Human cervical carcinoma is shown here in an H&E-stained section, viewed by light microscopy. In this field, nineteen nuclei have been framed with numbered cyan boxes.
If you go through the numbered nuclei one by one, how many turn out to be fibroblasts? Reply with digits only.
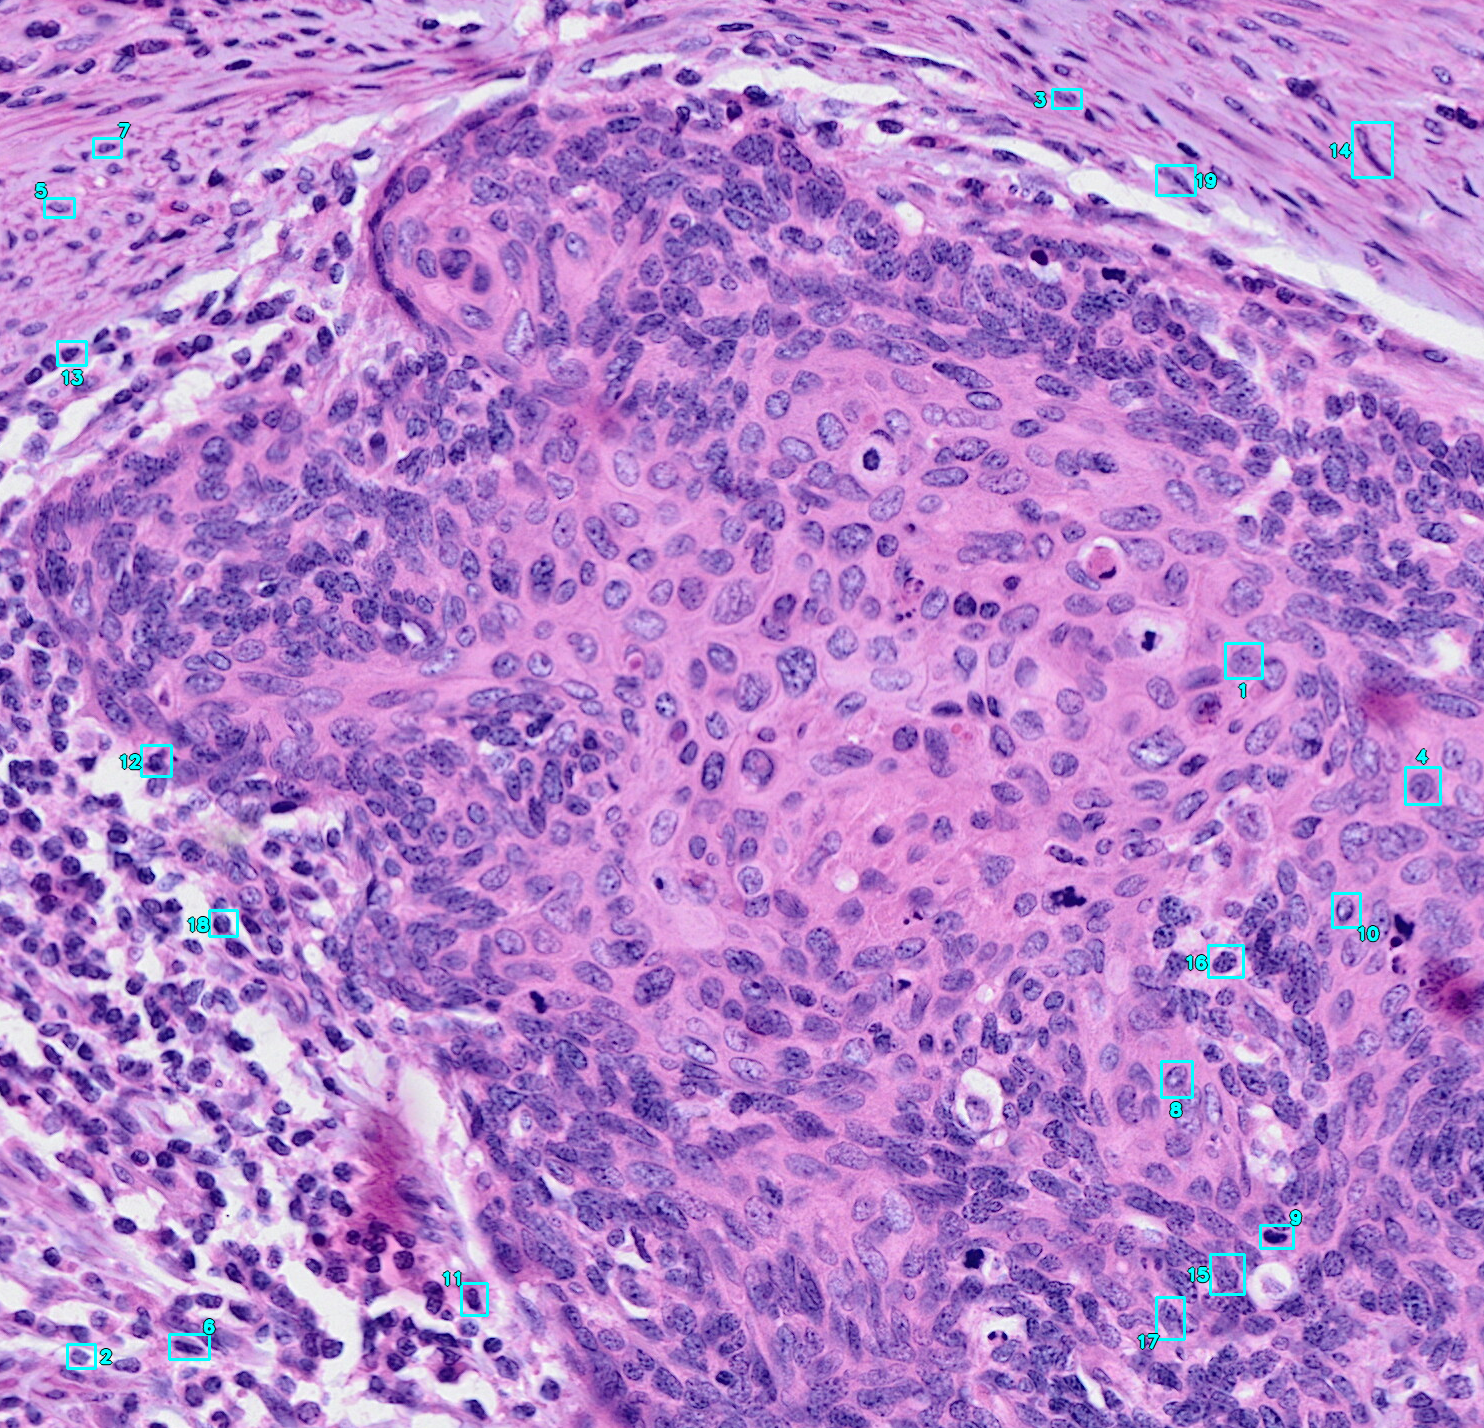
2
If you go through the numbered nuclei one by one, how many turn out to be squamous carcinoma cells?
7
